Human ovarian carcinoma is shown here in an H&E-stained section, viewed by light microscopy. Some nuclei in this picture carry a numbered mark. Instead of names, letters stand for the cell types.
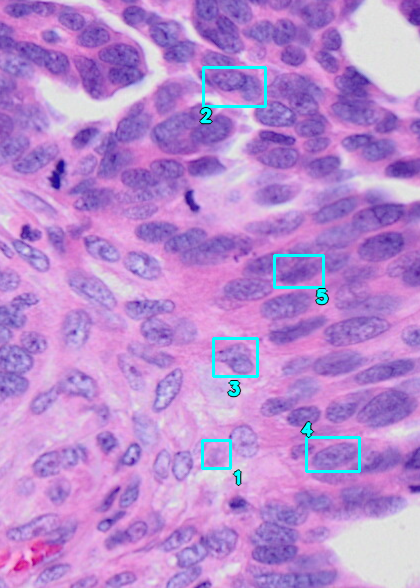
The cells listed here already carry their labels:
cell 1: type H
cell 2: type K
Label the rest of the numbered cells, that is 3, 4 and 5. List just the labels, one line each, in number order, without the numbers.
type H
type K
type K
